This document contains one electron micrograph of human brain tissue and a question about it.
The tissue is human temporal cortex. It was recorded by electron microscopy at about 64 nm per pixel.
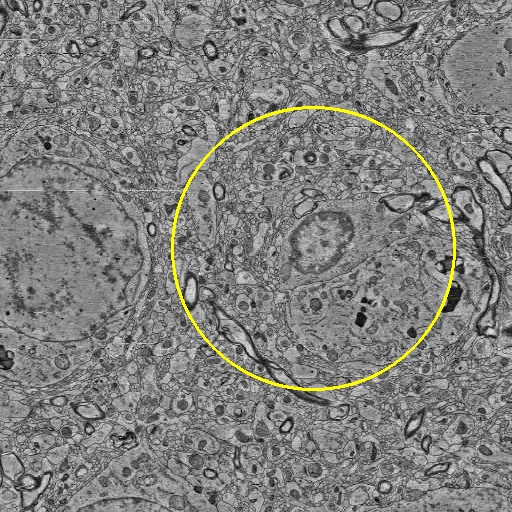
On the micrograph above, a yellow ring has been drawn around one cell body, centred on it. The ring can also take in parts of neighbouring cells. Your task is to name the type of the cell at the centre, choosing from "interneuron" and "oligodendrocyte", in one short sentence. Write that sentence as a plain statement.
Here the ring is centred on an oligodendrocyte.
